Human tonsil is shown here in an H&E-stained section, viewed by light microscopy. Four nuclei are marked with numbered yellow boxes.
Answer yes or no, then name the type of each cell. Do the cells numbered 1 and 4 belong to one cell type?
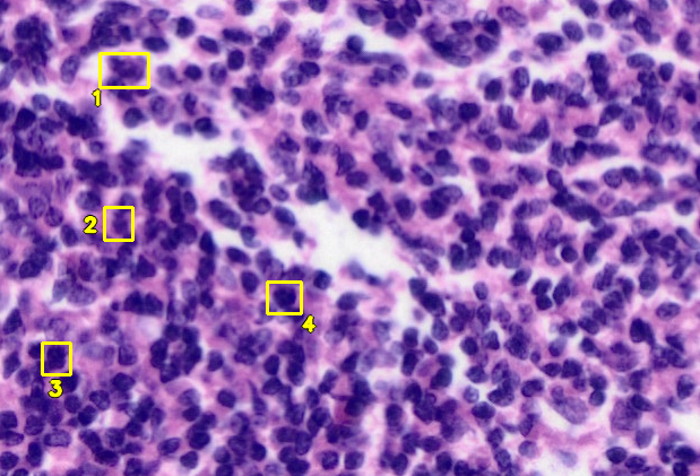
No, cell 1 is a proliferating B cell and cell 4 is a small lymphocyte.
